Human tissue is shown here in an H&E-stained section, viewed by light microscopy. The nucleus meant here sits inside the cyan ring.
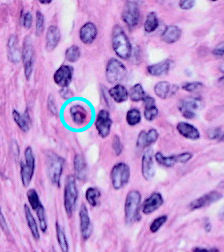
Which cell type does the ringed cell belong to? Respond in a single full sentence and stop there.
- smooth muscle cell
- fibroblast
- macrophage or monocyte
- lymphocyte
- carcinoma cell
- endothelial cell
What the ringed cell represents is a lymphocyte.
